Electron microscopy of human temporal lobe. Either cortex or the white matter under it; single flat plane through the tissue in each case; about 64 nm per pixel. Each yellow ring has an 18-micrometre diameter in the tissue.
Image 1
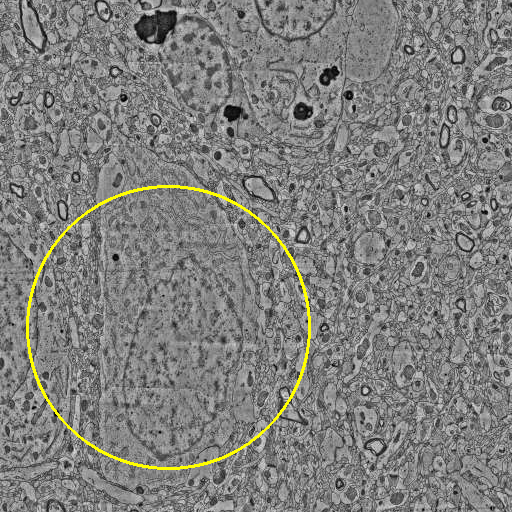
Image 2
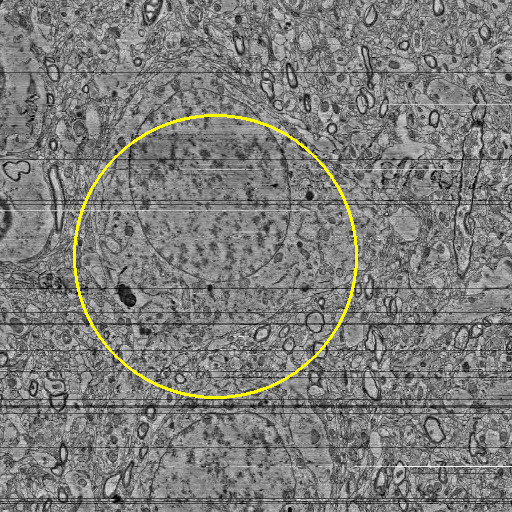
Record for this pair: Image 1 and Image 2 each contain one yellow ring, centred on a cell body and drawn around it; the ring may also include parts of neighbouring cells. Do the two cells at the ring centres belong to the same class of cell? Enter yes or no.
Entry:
no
